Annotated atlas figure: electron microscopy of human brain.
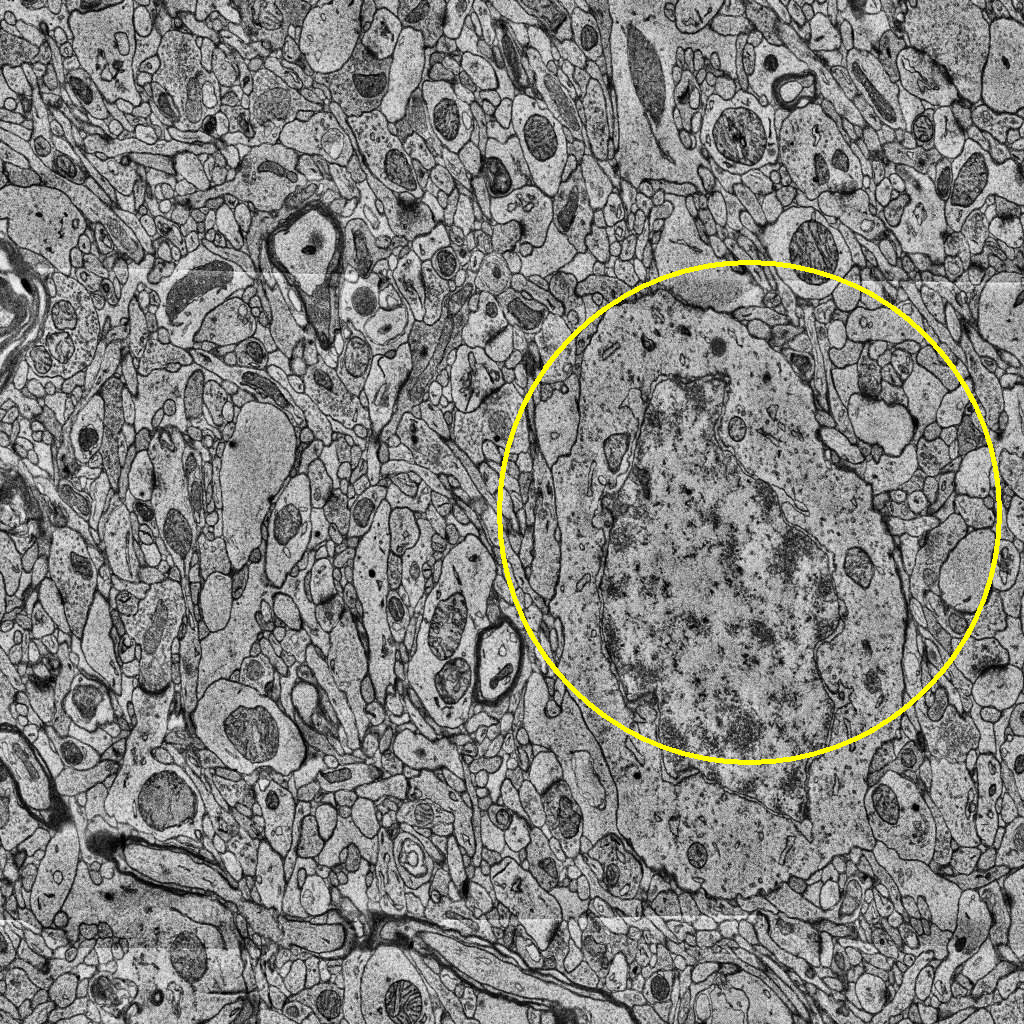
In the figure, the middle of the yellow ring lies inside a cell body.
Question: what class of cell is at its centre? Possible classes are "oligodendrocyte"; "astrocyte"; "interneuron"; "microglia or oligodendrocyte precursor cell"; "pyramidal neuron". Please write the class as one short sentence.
The yellow ring's centre lies in an interneuron.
